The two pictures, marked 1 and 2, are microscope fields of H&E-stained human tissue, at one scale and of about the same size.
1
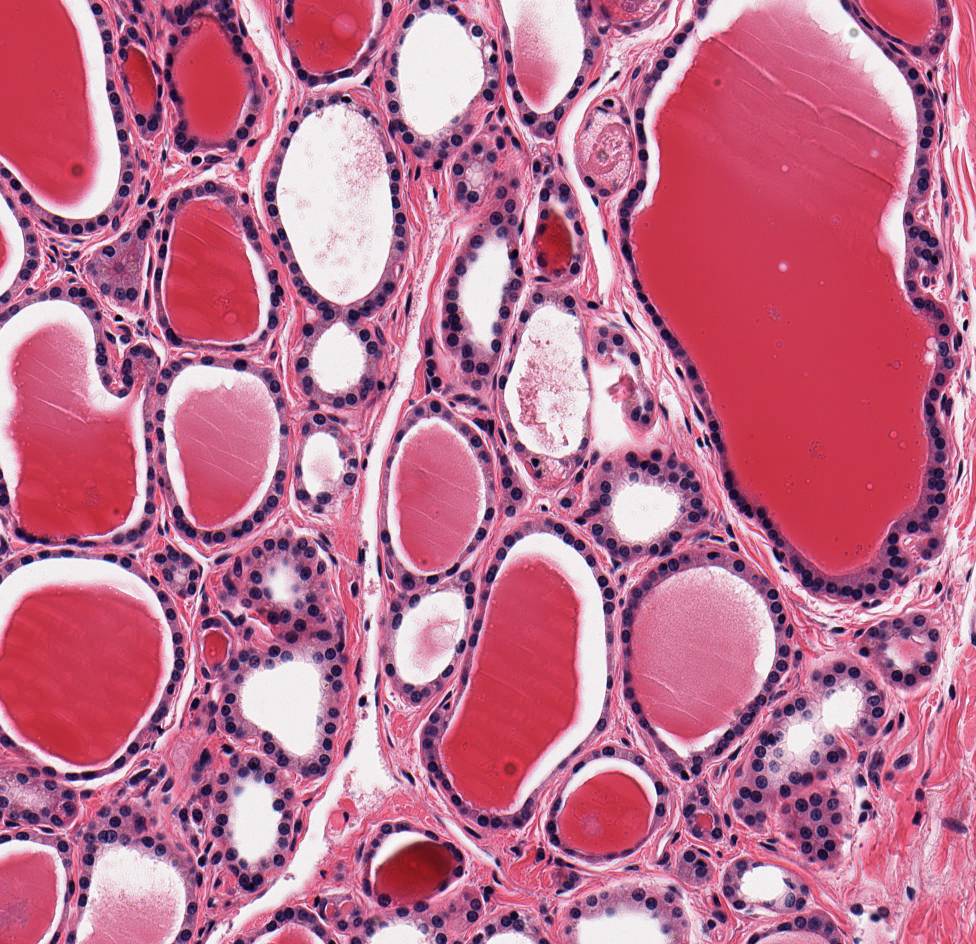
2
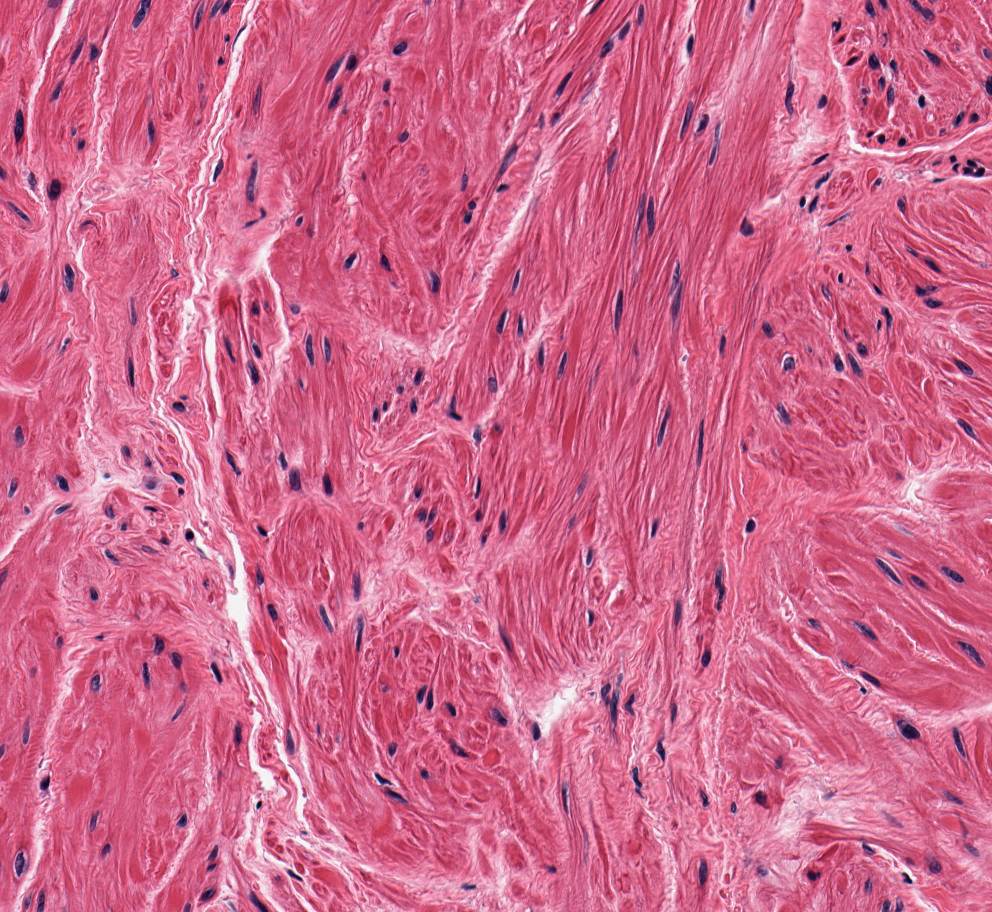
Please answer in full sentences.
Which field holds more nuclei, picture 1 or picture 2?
It is picture 1 that has more nuclei in it.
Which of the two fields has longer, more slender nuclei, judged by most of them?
The nuclei are more elongated in picture 2.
